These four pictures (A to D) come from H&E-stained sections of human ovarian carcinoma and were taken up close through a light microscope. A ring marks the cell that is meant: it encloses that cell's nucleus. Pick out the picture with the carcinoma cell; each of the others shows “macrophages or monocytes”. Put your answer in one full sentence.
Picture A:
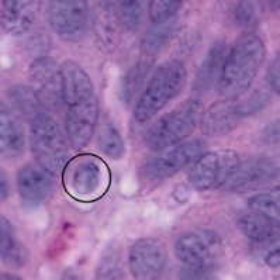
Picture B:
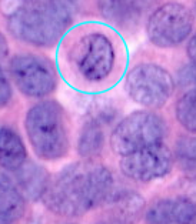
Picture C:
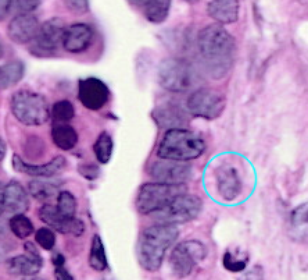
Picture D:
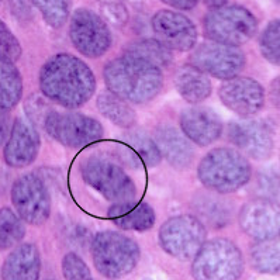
The cell in picture D is the carcinoma cell.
